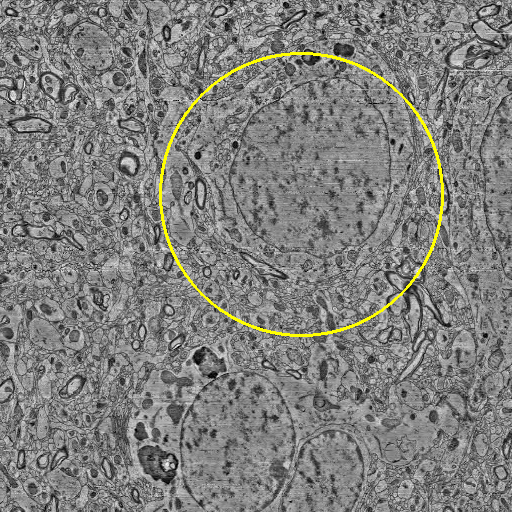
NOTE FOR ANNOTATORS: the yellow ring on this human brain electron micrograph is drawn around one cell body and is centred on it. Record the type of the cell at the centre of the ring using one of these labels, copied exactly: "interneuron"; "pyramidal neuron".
pyramidal neuron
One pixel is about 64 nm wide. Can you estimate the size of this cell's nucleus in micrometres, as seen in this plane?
The nucleus is approximately 11 micrometers across in this plane.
